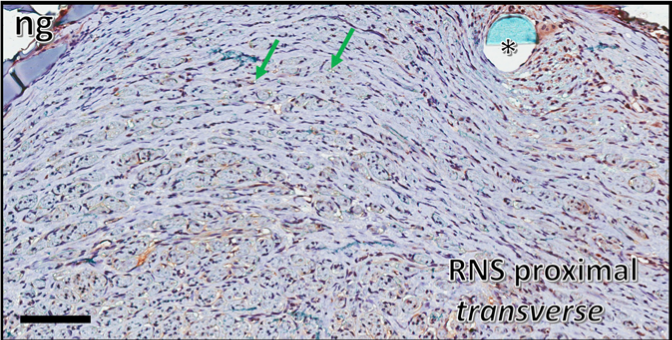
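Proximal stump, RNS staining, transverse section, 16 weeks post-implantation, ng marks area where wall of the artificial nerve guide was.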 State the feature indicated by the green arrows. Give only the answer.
Myelinated fibers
